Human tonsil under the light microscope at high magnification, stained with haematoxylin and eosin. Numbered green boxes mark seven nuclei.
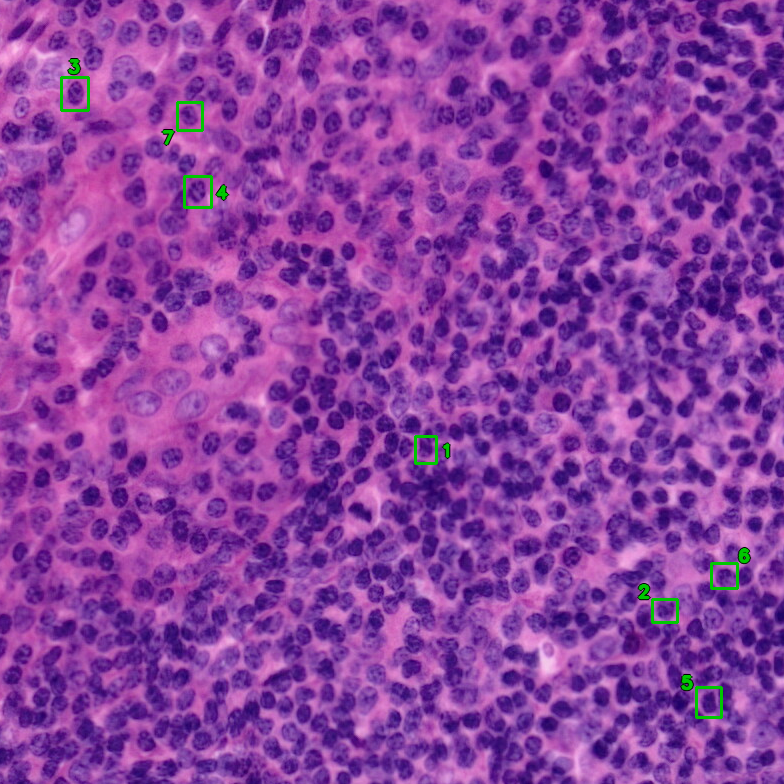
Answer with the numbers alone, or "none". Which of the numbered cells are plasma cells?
3, 4, 7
